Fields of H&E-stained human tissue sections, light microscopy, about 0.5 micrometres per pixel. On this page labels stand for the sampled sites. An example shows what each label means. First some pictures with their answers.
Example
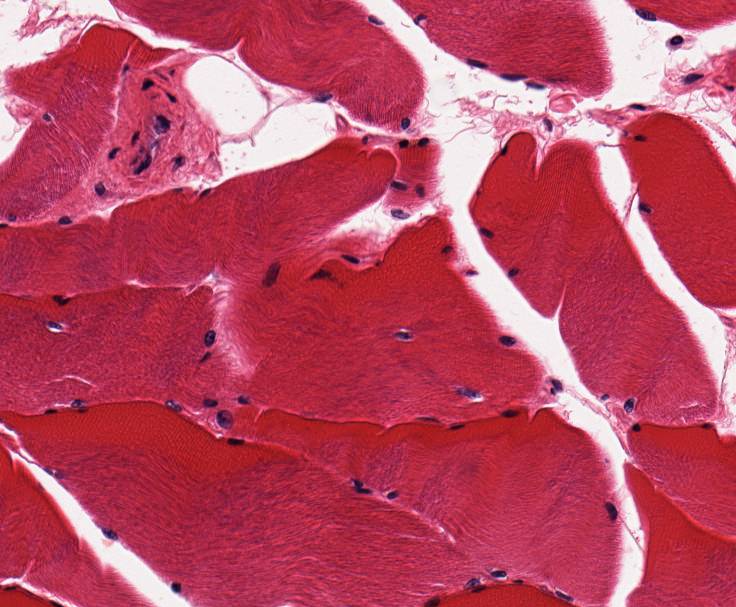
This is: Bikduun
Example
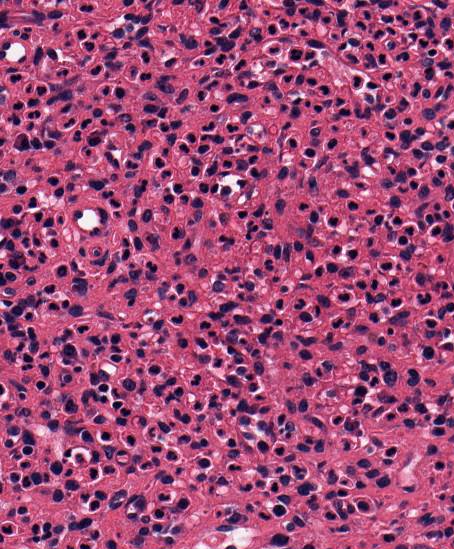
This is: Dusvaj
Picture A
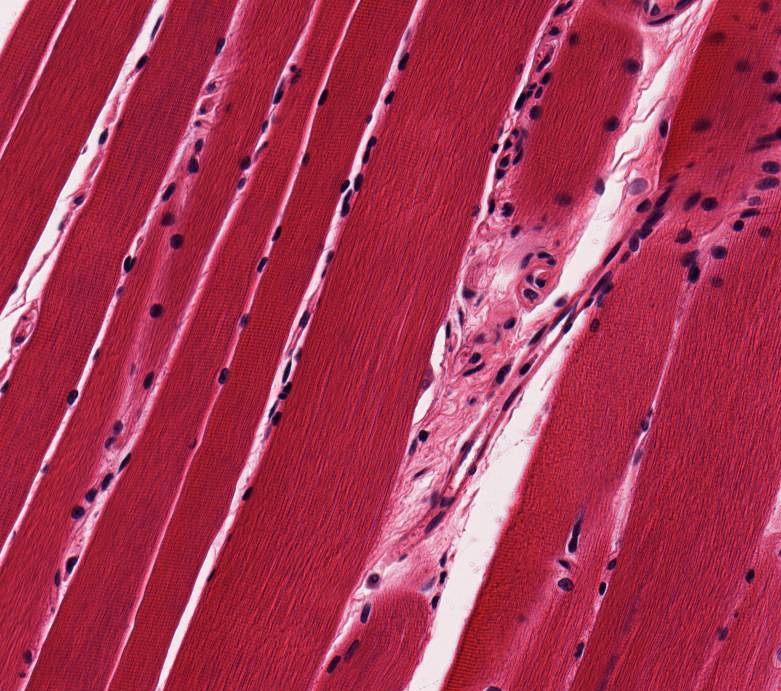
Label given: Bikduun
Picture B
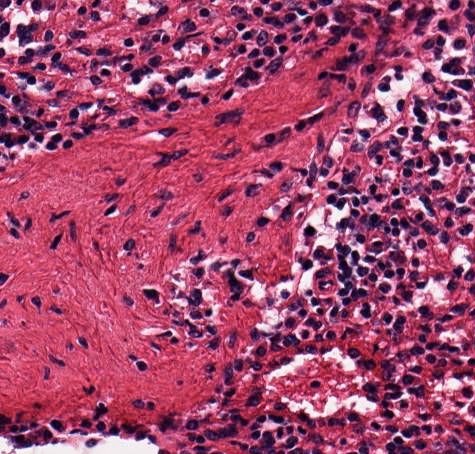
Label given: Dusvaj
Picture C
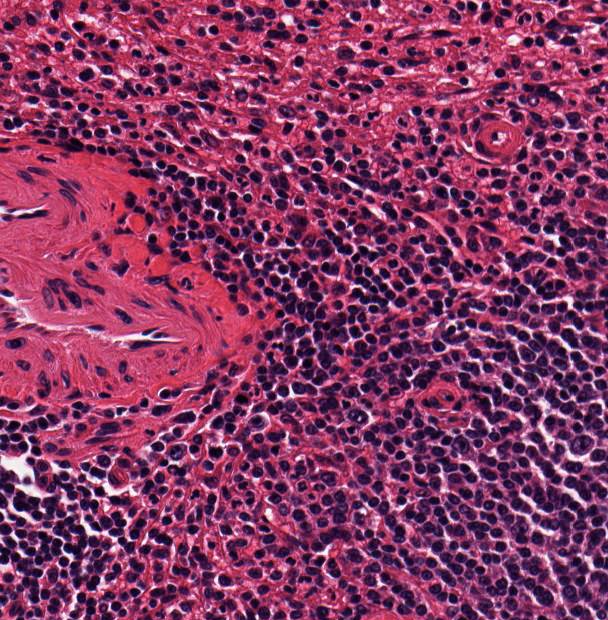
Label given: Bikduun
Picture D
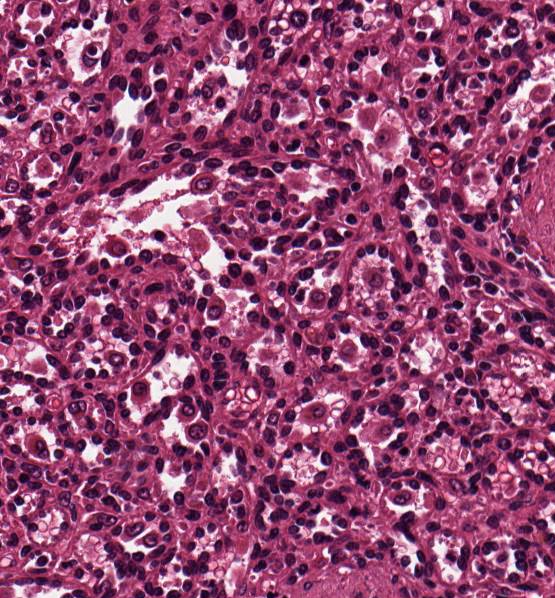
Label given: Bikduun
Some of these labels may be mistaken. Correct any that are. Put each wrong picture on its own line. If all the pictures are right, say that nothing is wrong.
C: change Bikduun to Dusvaj
D: change Bikduun to Dusvaj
